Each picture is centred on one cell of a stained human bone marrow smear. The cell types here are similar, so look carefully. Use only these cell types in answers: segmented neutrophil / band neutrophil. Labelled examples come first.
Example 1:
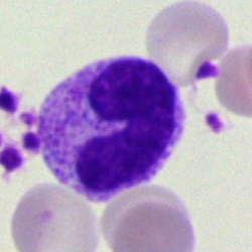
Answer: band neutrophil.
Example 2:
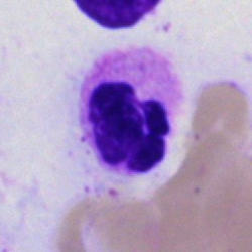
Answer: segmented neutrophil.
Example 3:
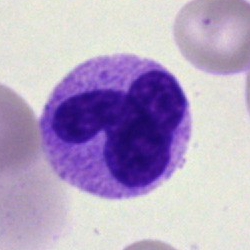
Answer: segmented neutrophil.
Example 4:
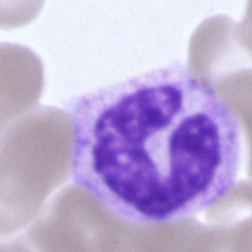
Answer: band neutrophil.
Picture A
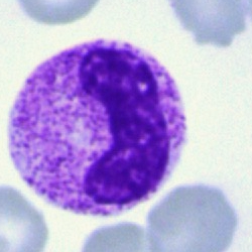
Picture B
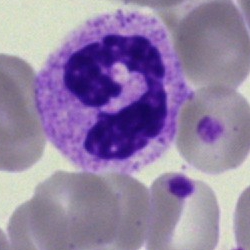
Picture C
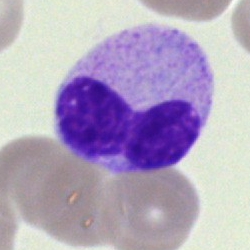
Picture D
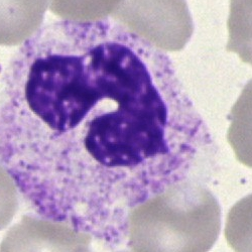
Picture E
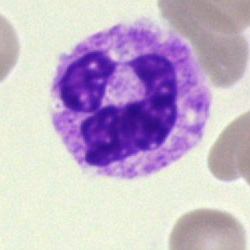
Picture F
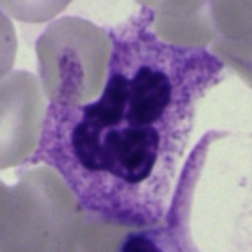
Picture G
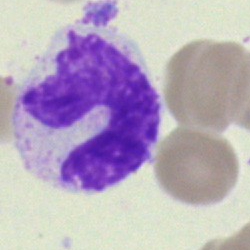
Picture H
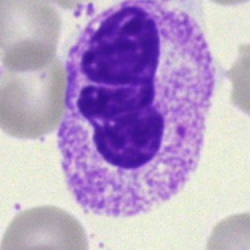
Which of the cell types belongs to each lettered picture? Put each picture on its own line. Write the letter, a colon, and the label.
A: band neutrophil.
B: segmented neutrophil.
C: band neutrophil.
D: band neutrophil.
E: segmented neutrophil.
F: segmented neutrophil.
G: band neutrophil.
H: segmented neutrophil.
